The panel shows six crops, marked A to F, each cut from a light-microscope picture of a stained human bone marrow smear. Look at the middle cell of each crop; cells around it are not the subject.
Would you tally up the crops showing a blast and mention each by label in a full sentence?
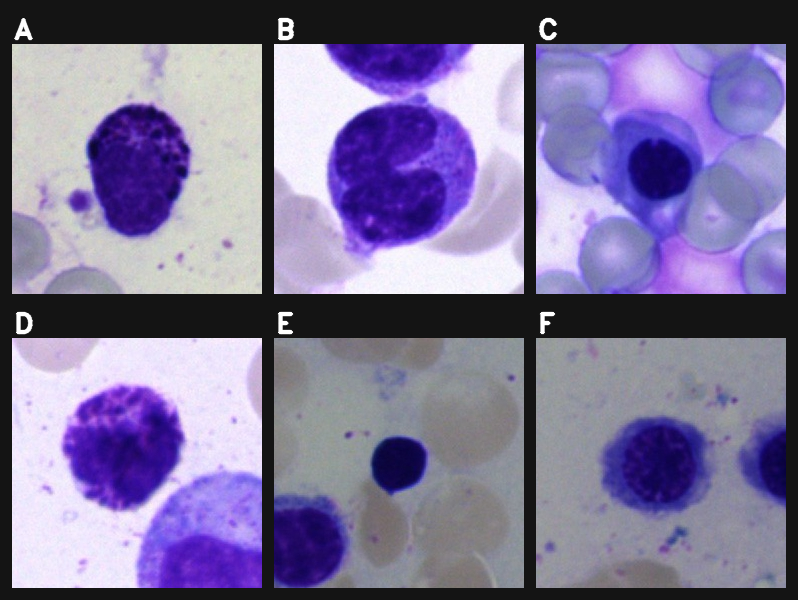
Of the crops, not a single one shows blasts, so the count is zero.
